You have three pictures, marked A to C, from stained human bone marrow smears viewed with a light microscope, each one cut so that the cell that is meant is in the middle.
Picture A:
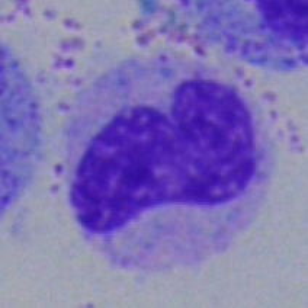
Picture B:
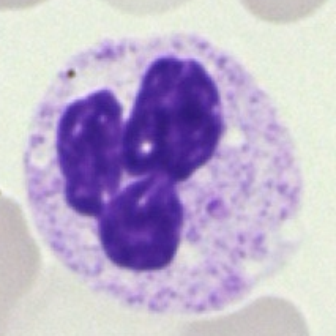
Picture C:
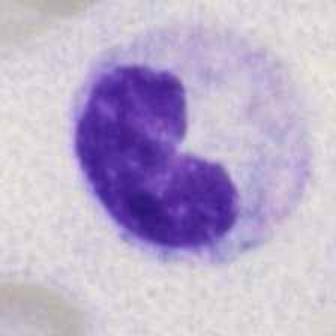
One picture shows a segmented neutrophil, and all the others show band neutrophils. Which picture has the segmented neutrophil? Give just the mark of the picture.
B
